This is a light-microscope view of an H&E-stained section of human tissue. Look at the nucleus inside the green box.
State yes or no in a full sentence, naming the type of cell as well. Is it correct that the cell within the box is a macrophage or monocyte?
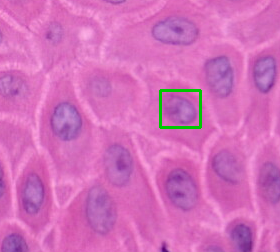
No, the cell within the box is termed a keratinocyte, not a macrophage or monocyte.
